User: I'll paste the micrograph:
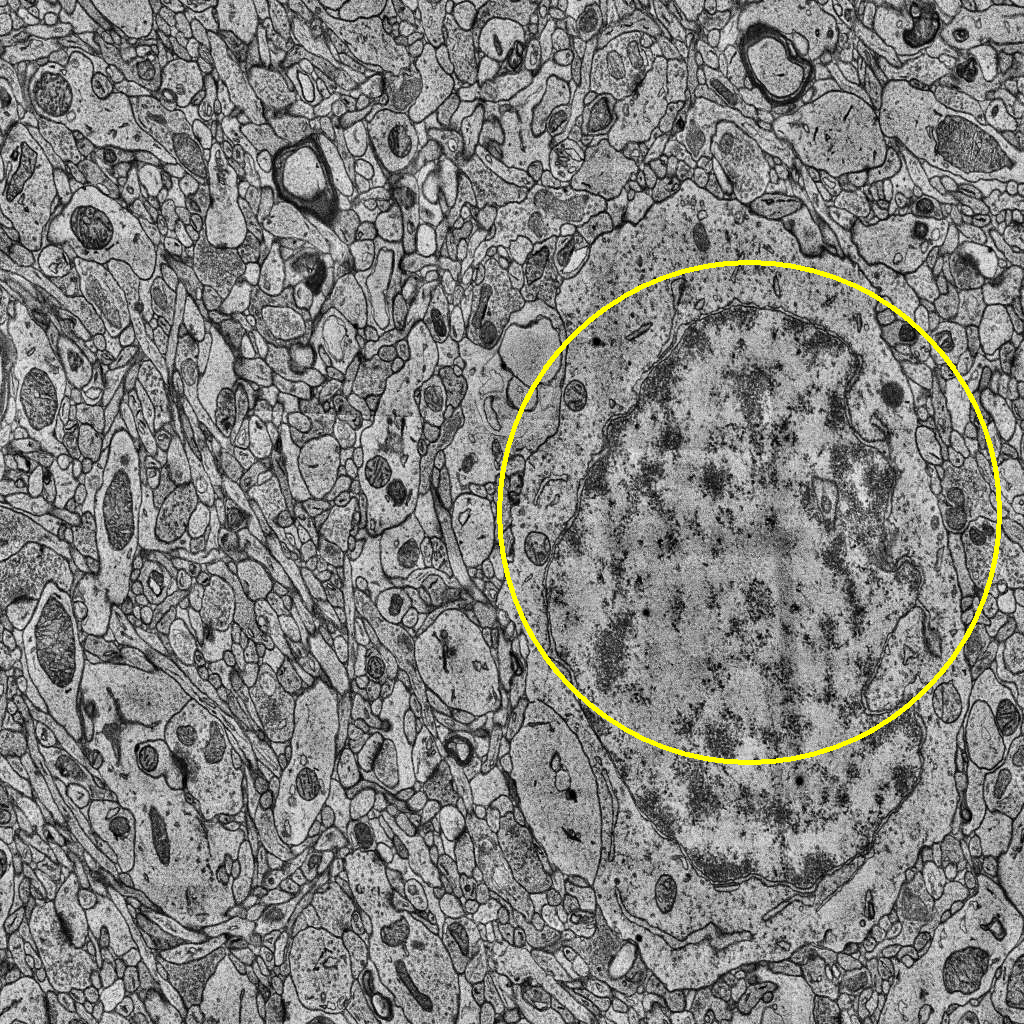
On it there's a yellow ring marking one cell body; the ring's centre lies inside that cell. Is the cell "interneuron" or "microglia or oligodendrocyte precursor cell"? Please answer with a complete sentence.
The cell at the centre of the yellow ring is an interneuron.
